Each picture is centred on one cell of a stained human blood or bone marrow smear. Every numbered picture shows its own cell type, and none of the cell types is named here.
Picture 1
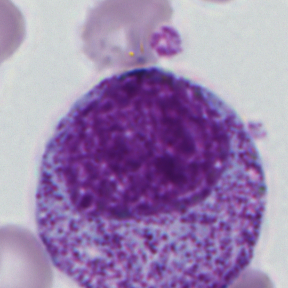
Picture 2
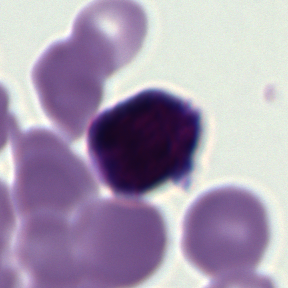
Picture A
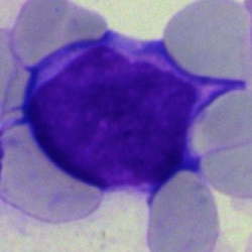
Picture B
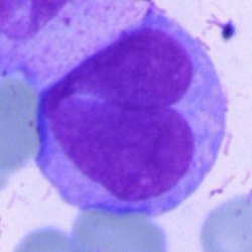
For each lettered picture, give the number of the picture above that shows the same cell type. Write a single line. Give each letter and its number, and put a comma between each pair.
A 2, B 2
